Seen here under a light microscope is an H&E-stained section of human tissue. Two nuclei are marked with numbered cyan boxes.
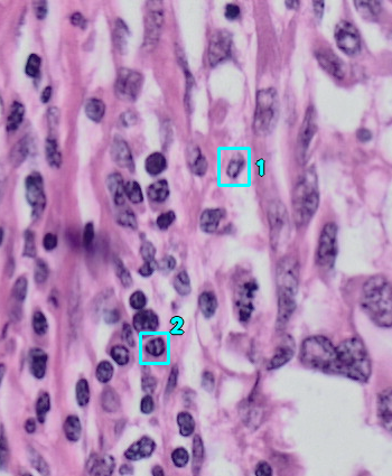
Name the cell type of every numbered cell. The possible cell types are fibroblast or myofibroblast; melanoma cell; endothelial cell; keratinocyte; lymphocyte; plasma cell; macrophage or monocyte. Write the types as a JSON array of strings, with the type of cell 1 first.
["lymphocyte", "plasma cell"]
